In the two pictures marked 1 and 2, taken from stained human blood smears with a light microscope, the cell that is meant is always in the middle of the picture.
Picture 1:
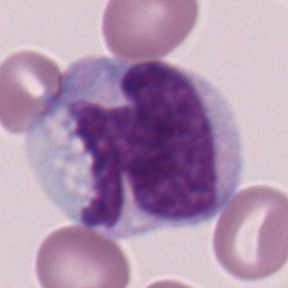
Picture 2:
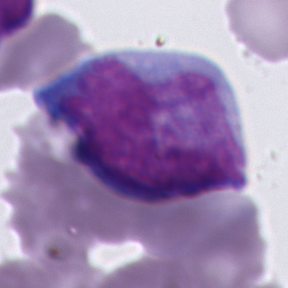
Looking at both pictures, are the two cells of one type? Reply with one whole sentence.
No, picture 1 shows a monocyte and picture 2 shows a myeloblast.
